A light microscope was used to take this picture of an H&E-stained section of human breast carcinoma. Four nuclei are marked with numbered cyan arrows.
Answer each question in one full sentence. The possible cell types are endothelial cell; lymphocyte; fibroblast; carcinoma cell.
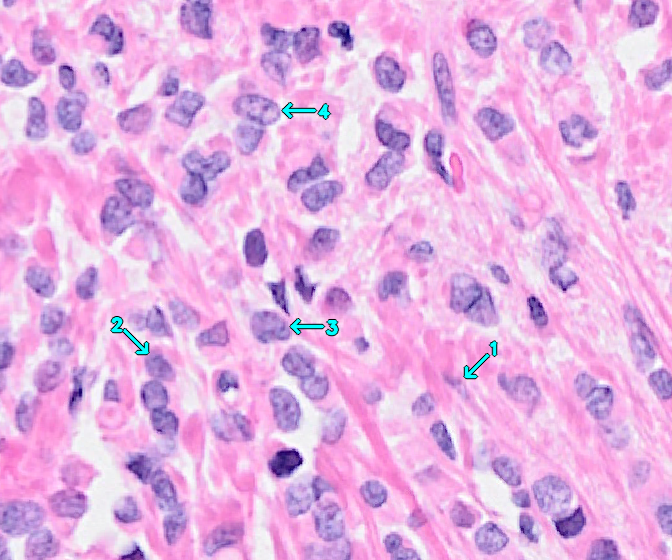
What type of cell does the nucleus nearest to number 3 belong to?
Closest to number 3 lies the nucleus of a fibroblast.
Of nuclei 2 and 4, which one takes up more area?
Nucleus 4 covers more area, about 2 times as much as nucleus 2.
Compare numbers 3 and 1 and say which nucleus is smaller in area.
With nucleus 3 about 3 times its size, nucleus 1 is the smaller of the two.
